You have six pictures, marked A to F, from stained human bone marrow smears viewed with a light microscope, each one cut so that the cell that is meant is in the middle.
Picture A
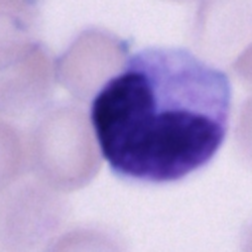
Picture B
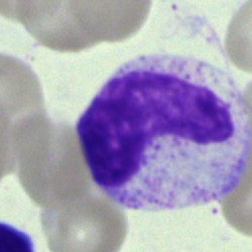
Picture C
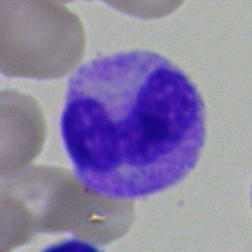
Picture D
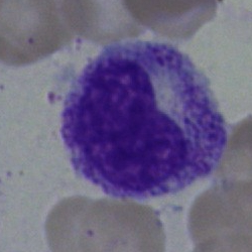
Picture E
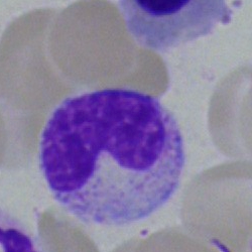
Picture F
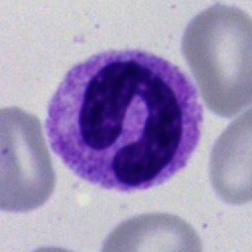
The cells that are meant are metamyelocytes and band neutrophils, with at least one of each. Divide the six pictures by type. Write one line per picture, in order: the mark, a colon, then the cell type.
A: metamyelocyte
B: metamyelocyte
C: band neutrophil
D: metamyelocyte
E: band neutrophil
F: band neutrophil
